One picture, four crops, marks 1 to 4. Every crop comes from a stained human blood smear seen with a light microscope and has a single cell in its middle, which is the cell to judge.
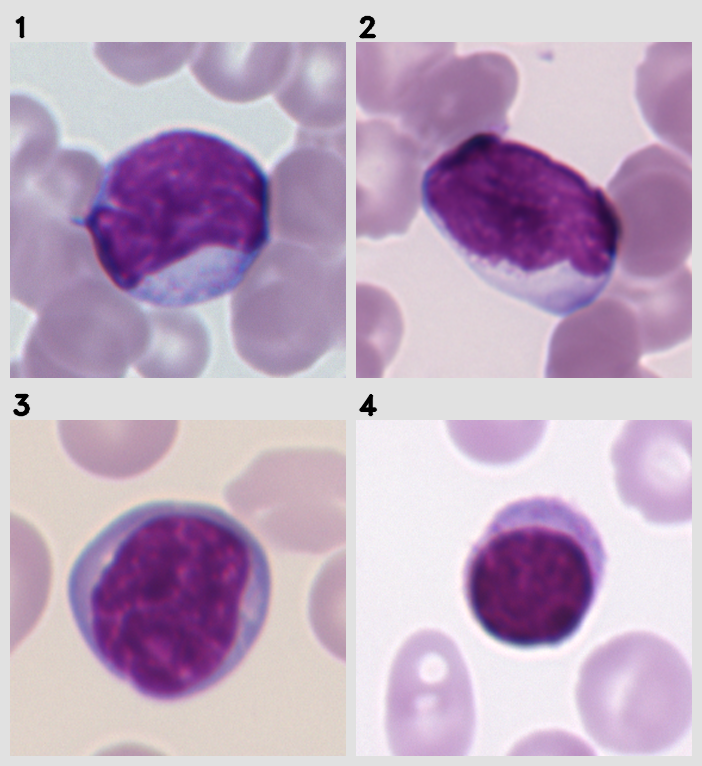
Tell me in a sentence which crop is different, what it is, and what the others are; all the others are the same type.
Crop 4 does not match the others; it shows a typical lymphocyte, and they show large granular lymphocytes.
